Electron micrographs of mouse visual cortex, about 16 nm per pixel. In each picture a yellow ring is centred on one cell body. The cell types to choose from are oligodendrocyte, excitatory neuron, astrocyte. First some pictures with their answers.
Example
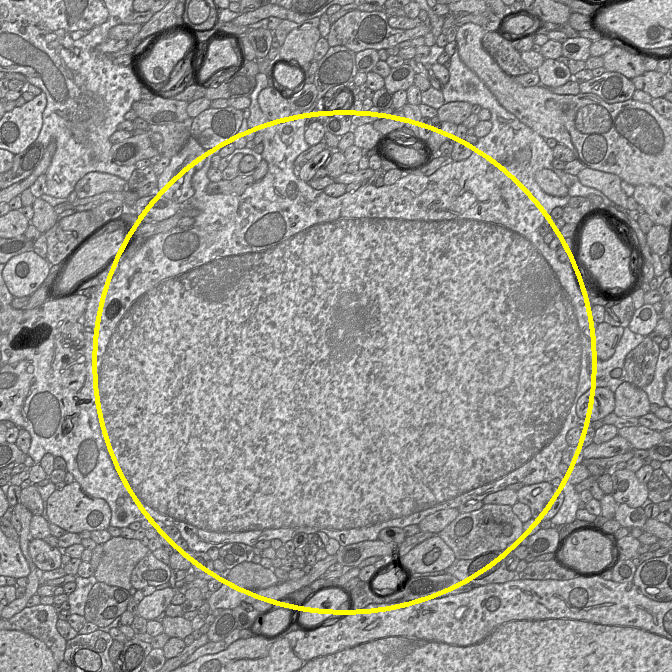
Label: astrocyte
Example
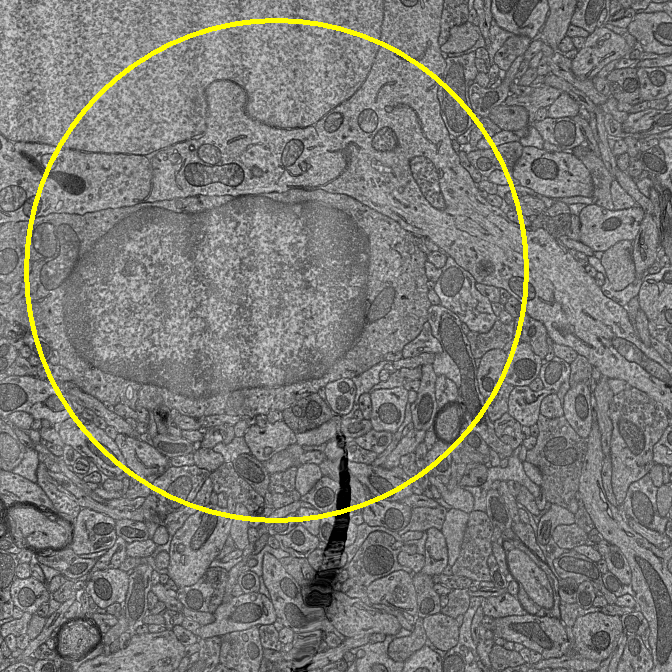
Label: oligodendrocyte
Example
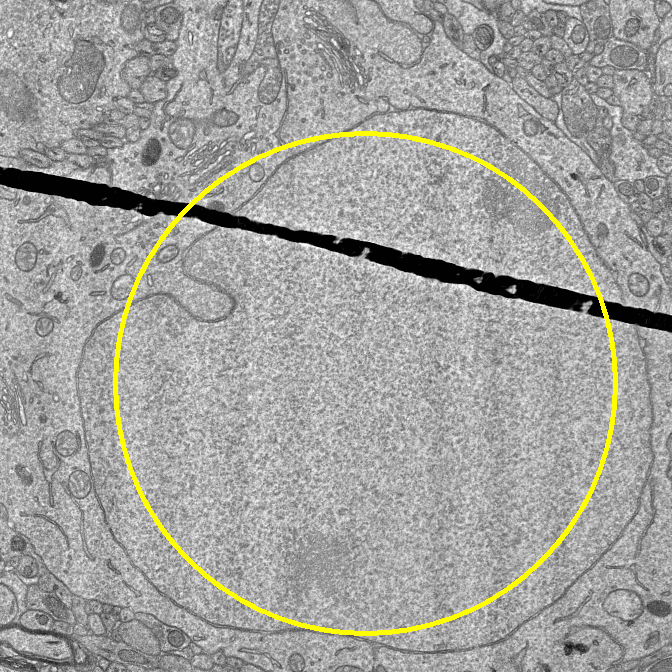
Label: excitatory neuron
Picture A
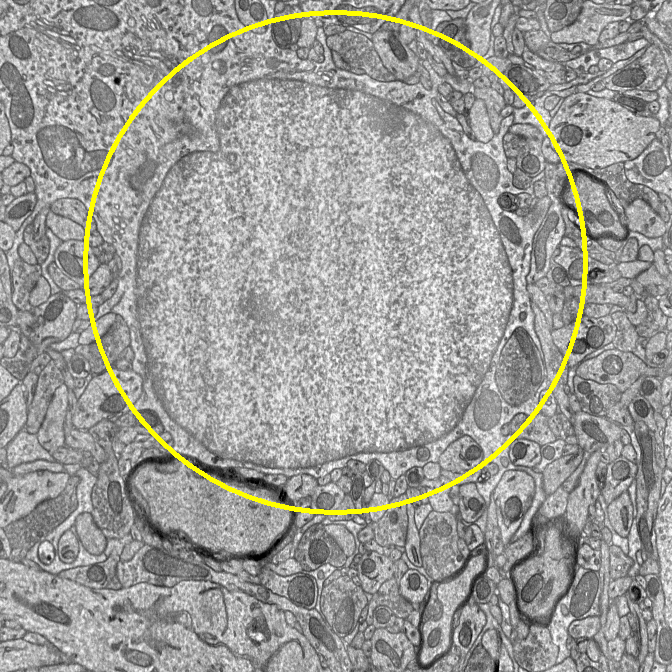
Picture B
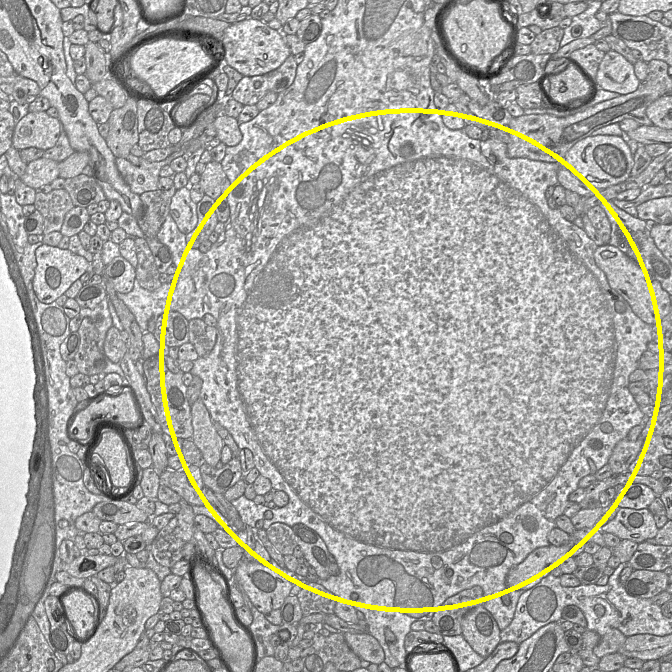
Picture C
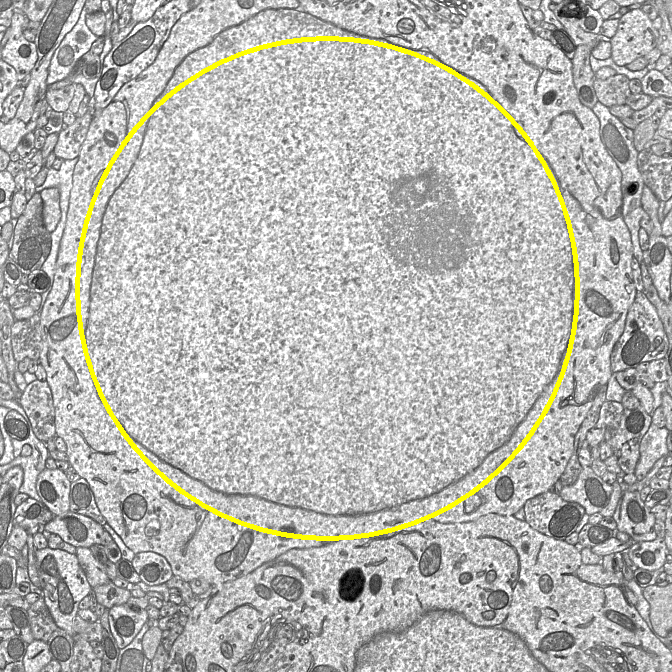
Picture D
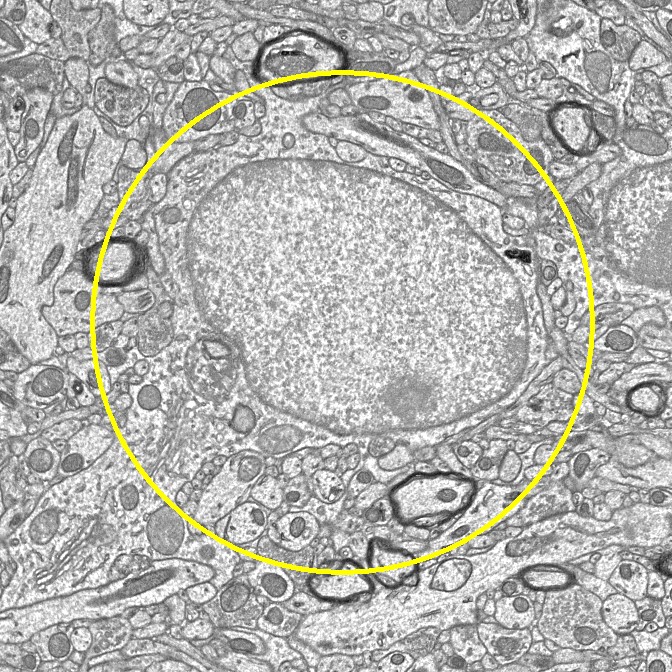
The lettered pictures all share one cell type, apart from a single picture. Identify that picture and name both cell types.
Exception: C, showing excitatory neuron. Remaining pictures: astrocyte.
